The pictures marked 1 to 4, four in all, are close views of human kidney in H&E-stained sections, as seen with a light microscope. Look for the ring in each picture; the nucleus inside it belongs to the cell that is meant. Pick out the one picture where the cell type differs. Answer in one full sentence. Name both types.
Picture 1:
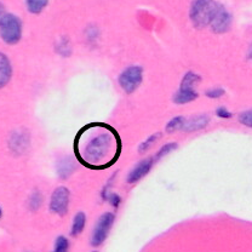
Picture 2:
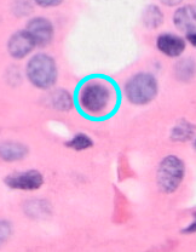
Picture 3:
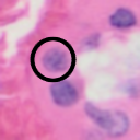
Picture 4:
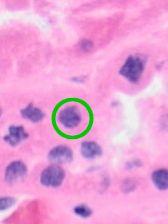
All pictures except 2 show “loop of Henle or distal tubule cells”; picture 2 shows a collecting duct cell.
